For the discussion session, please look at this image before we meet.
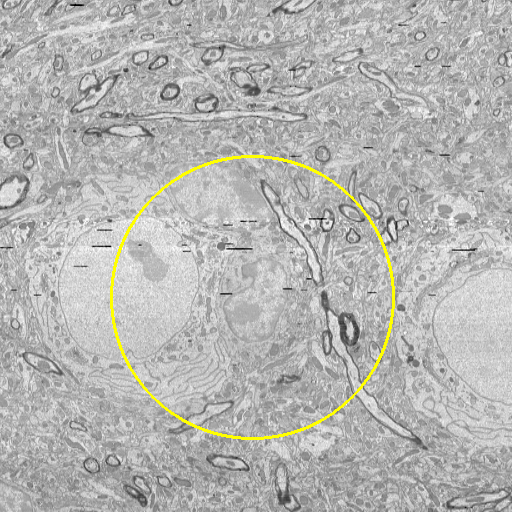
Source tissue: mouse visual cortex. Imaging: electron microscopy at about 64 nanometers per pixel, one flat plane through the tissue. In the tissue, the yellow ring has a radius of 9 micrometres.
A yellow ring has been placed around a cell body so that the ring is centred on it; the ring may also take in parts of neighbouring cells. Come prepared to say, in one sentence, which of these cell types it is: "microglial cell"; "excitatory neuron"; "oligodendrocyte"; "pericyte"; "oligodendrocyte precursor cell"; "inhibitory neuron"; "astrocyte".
The cell centred in the ring is an oligodendrocyte.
